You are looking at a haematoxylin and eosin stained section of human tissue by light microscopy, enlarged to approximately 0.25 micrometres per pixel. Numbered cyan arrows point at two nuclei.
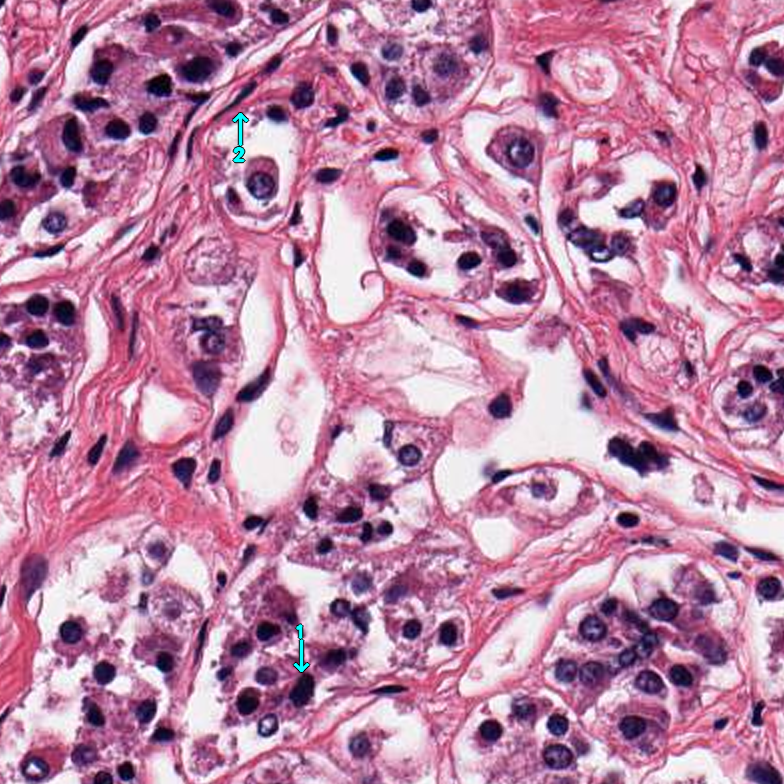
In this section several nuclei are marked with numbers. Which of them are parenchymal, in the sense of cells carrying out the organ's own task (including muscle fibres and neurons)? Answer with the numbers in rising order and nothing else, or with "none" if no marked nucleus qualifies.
1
